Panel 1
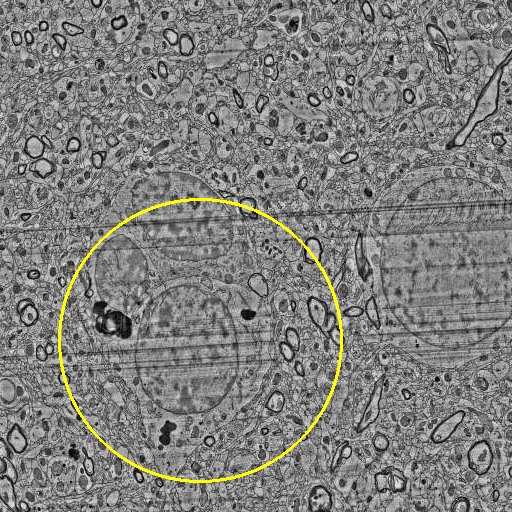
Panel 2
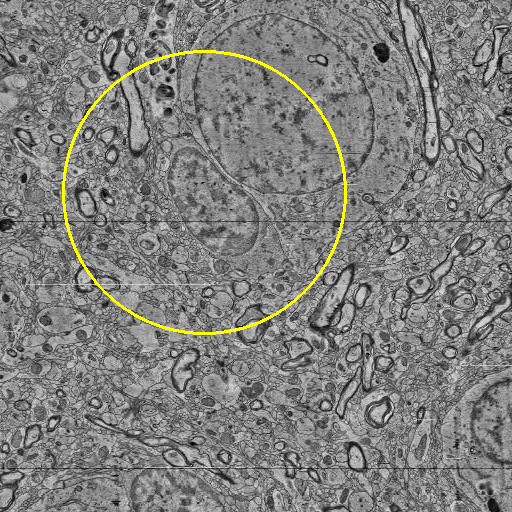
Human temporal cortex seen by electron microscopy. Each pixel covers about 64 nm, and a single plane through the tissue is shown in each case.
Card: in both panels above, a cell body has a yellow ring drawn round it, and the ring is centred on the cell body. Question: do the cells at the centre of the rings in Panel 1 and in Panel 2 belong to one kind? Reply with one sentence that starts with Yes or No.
No, the cells centred in the rings of Panel 1 and Panel 2 are two kinds of cell.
